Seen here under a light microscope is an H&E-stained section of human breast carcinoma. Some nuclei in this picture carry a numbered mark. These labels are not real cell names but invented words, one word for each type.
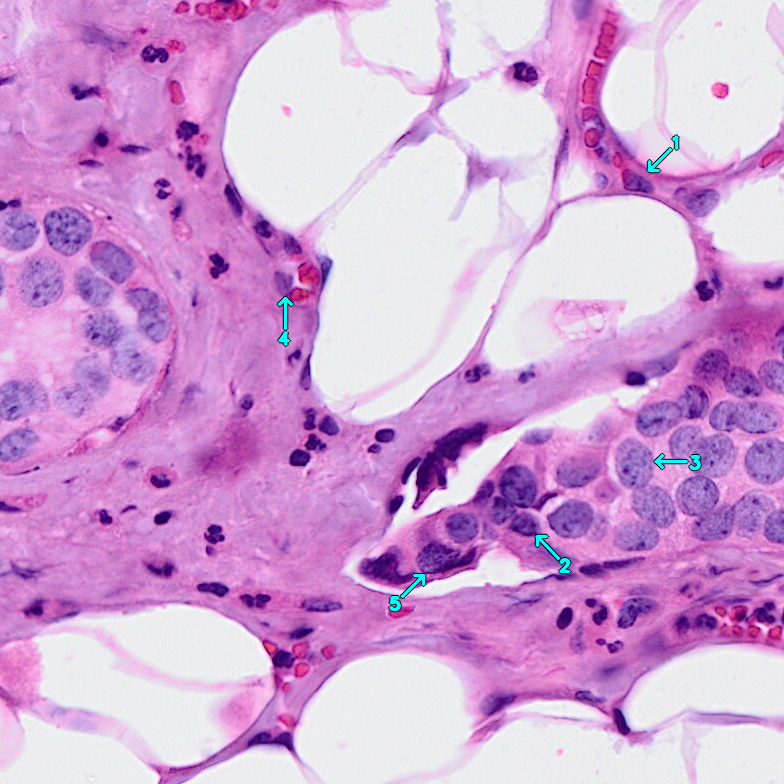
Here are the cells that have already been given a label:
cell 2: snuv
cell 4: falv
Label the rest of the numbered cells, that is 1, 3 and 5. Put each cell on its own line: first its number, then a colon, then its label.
1: falv
3: snuv
5: snuv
